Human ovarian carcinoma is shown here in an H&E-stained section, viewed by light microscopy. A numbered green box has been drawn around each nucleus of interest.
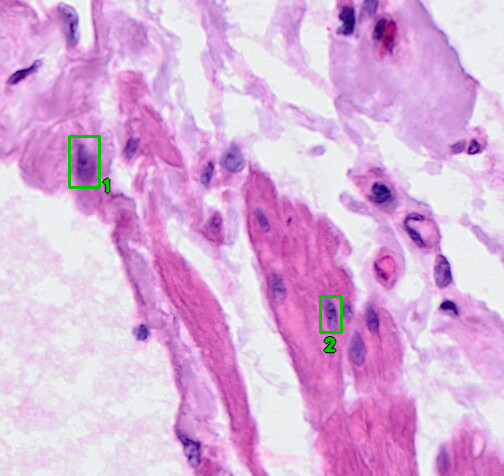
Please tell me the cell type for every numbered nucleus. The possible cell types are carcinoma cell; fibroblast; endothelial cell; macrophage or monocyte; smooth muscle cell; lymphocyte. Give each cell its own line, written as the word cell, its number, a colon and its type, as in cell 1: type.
cell 1: endothelial cell
cell 2: smooth muscle cell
